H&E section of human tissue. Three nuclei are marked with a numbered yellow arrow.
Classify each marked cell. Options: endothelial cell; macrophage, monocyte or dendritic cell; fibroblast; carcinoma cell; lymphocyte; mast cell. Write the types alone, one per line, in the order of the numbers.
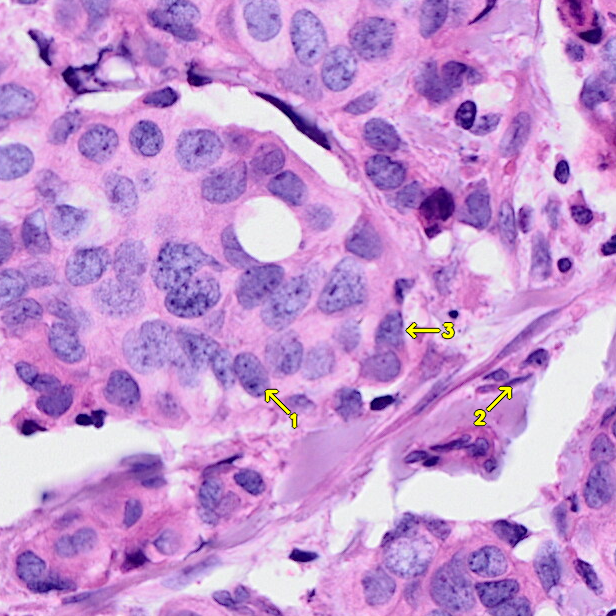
carcinoma cell
fibroblast
carcinoma cell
